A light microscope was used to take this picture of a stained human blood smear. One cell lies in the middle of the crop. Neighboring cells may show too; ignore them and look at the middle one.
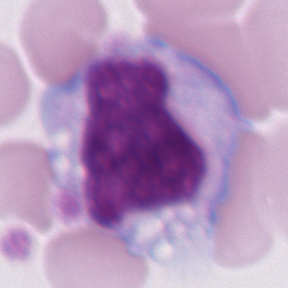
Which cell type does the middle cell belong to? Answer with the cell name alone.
monocyte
